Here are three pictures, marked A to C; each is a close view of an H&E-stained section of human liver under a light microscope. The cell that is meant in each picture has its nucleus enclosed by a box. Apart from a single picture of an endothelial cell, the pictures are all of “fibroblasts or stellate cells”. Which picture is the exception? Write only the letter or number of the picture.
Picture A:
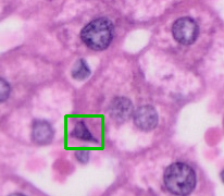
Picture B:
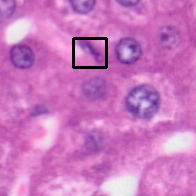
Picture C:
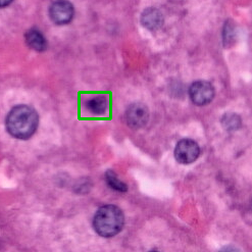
B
